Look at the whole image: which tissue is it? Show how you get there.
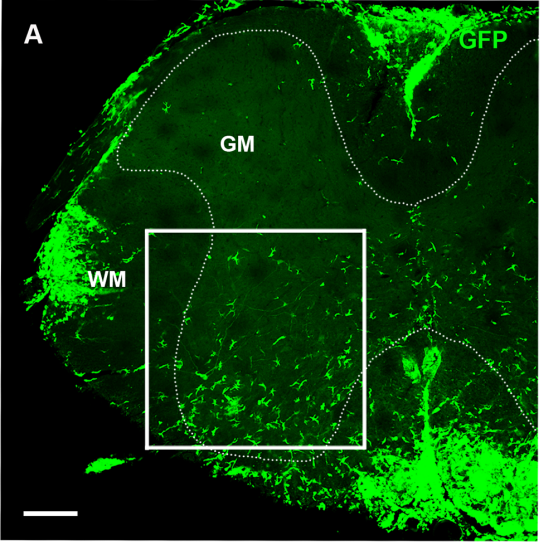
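A butterfly-shaped central grey region is outlined by dotted lines and surrounded by white matter. A midline structure with a central canal region lies between the two halves. On this evidence: spinal cord.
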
